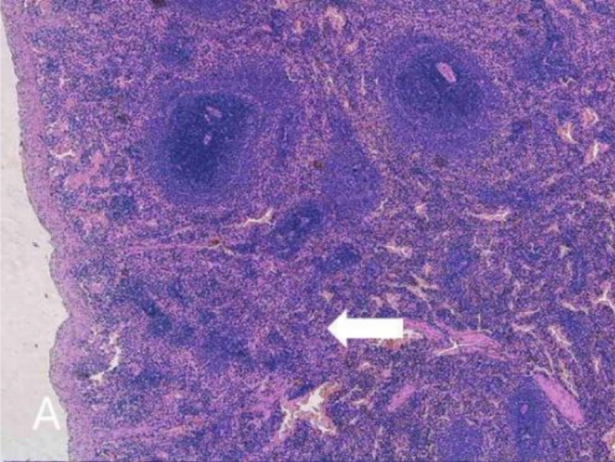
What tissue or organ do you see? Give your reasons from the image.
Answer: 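Round, dense, dark purple lymphoid follicles, several with a small central vessel. Follicles lie in a looser, vascular pink-purple tissue between them. A thin capsule runs along the left edge. The answer: spleen.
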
